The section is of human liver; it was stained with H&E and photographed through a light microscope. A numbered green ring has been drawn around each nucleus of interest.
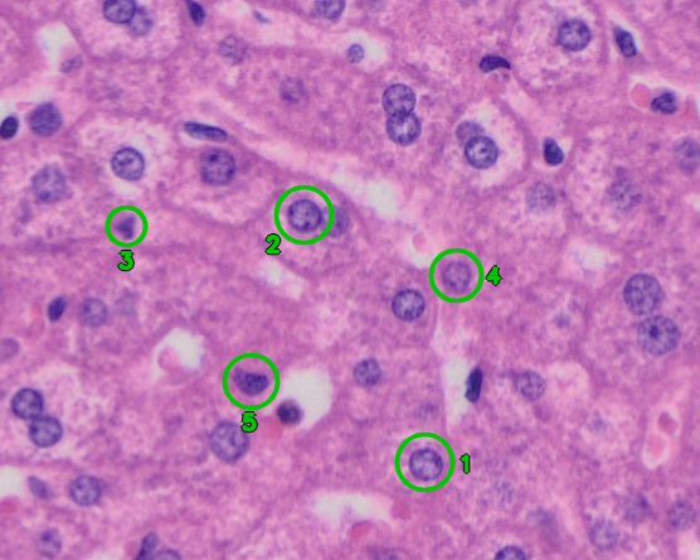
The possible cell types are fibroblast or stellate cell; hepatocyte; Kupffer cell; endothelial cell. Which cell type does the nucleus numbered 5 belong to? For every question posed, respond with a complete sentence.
The cell indicated with the number 5 is classed as a fibroblast or stellate cell.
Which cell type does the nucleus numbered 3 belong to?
Among the marked nuclei, number 3 belongs to an endothelial cell.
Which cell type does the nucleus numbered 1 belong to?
Among the marked cells, number 1 is a hepatocyte.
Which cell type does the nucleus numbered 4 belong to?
The cell marked with the number 4 is a hepatocyte.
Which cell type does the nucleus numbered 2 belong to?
Cell 2 of the marked set is a hepatocyte.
